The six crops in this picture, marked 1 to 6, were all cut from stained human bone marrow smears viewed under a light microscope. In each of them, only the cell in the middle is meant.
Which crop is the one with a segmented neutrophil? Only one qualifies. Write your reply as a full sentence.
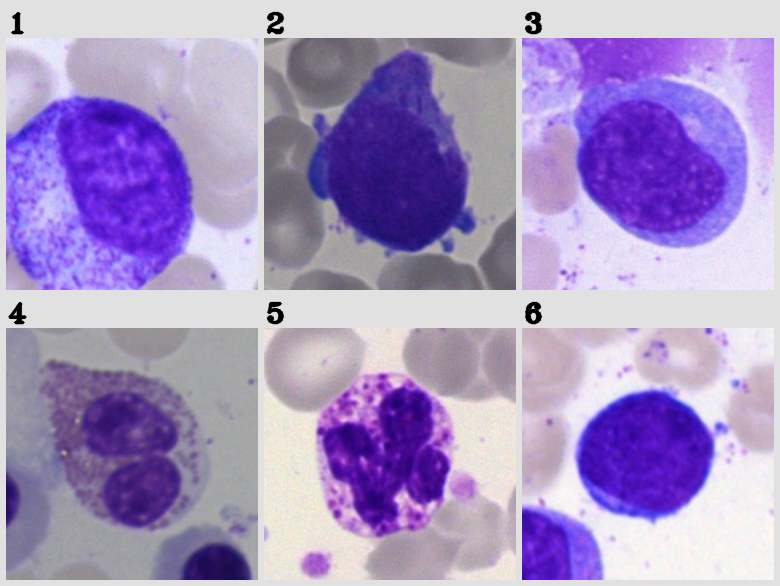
The crop showing a segmented neutrophil in this series is crop 5.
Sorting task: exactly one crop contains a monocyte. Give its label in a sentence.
Of the cells presented, the one in crop 3 is a monocyte.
